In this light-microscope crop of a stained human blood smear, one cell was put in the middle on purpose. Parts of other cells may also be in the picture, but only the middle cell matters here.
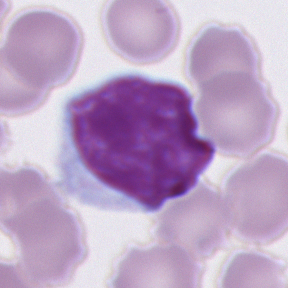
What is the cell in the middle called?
typical lymphocyte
